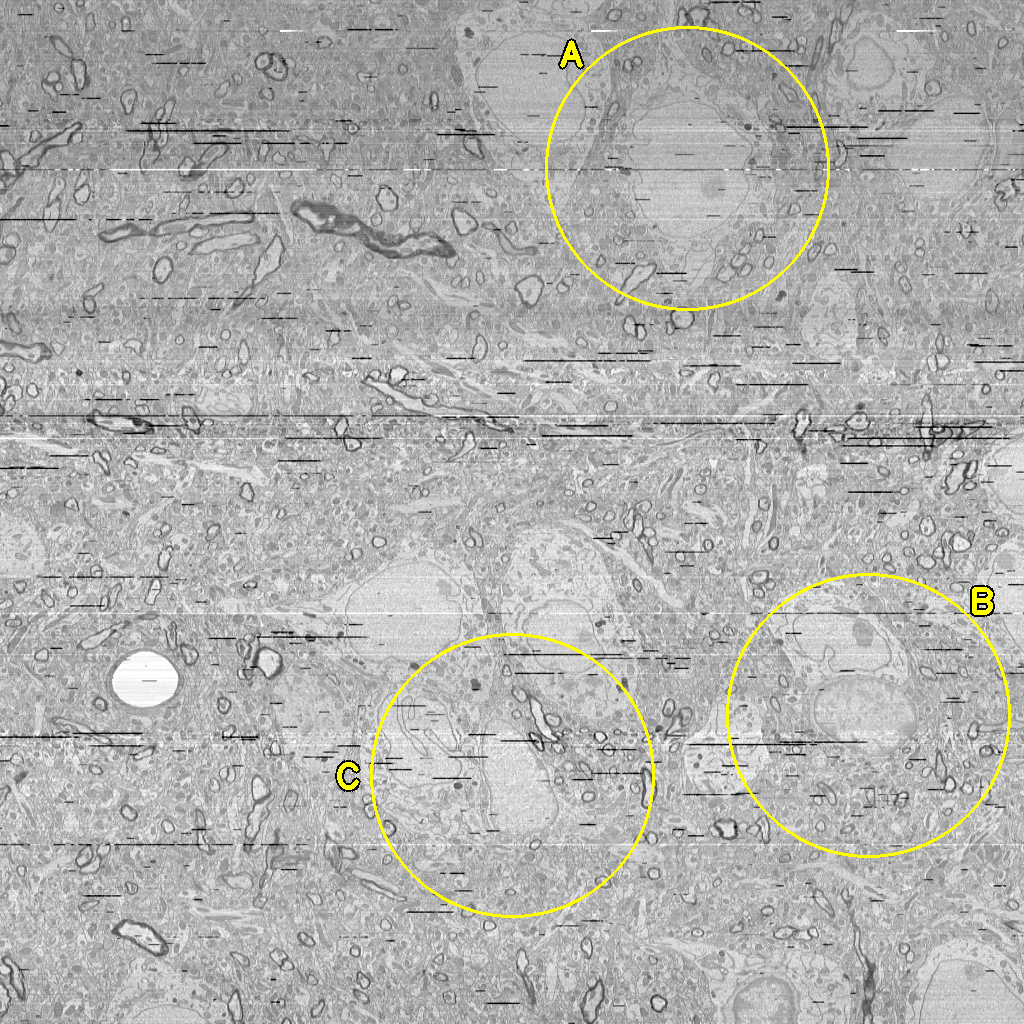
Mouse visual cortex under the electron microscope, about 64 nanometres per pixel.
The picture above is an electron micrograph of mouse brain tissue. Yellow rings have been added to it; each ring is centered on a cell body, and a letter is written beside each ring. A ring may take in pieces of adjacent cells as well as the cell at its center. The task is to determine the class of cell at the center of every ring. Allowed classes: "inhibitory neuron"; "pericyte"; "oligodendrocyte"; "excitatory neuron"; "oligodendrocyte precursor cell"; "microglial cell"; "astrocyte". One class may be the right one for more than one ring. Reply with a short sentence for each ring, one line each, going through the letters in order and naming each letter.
Ring A is centered on an excitatory neuron.
Ring B is centered on an oligodendrocyte.
Ring C is centered on an astrocyte.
